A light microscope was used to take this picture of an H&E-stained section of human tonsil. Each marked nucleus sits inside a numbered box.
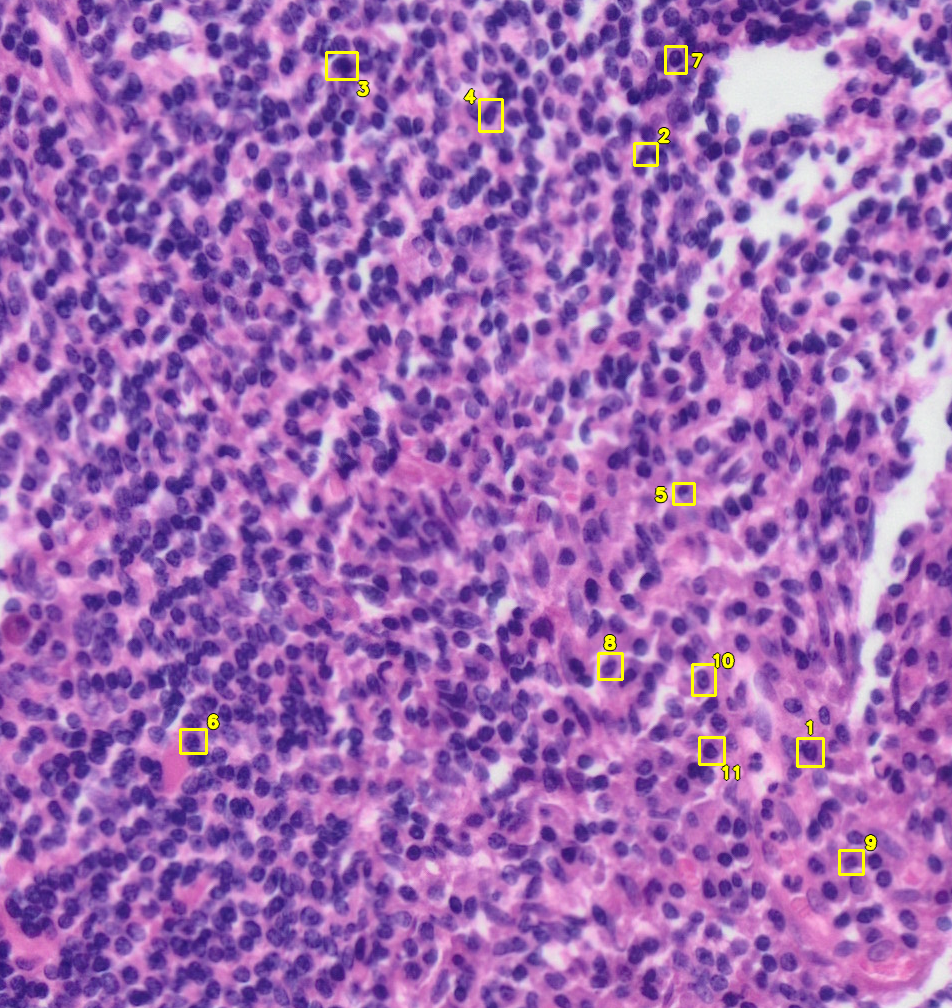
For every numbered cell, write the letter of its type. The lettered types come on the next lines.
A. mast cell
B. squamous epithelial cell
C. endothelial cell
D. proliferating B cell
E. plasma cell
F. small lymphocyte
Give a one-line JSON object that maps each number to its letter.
{"1": "E", "2": "F", "3": "F", "4": "F", "5": "E", "6": "F", "7": "F", "8": "E", "9": "E", "10": "E", "11": "E"}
